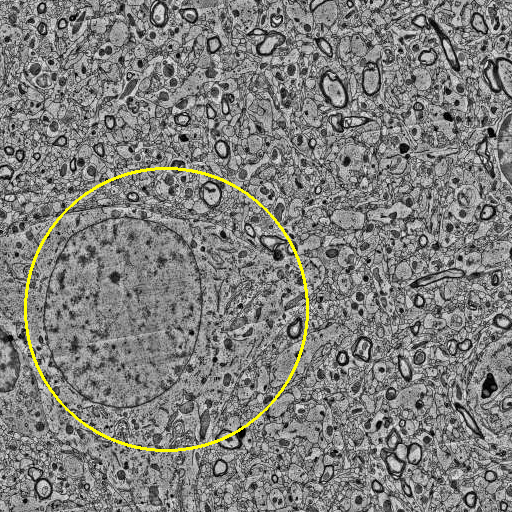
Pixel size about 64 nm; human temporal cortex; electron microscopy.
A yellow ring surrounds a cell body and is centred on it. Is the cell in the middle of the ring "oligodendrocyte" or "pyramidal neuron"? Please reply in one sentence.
The ring is centred on a pyramidal neuron.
